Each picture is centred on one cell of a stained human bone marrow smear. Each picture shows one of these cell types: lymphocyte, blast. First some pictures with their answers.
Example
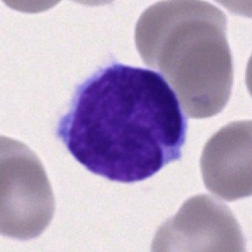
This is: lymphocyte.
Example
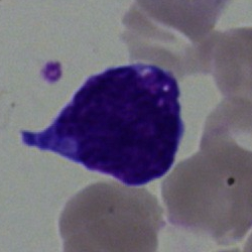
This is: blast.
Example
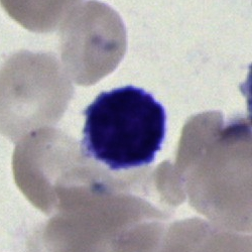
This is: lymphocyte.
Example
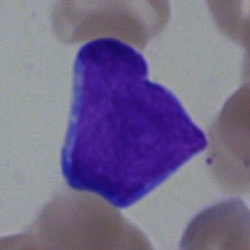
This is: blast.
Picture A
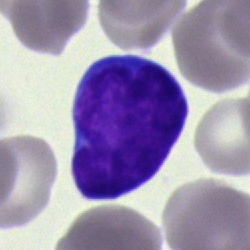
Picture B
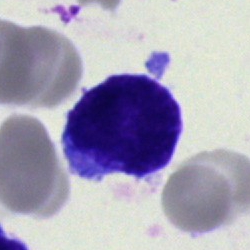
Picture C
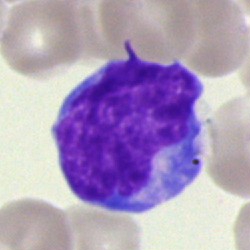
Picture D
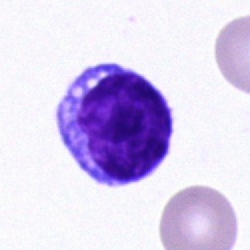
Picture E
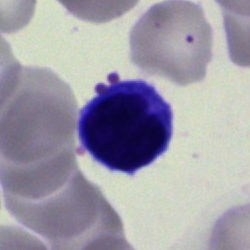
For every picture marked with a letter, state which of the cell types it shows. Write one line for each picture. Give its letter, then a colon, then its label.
A: blast.
B: blast.
C: blast.
D: lymphocyte.
E: lymphocyte.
